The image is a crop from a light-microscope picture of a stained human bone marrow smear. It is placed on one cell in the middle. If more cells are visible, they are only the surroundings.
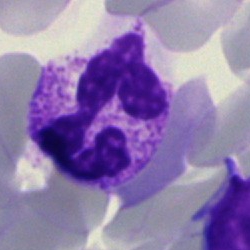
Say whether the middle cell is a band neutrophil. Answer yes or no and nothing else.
no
